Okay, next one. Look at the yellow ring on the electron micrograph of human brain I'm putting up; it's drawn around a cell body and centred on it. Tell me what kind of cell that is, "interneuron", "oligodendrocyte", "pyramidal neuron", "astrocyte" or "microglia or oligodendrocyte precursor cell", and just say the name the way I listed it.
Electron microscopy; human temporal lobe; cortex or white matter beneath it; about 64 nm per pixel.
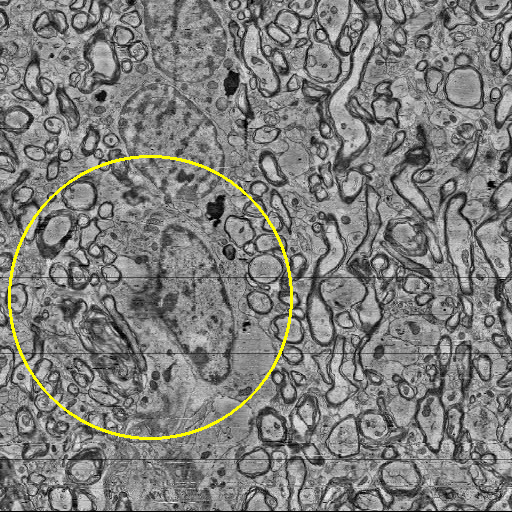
microglia or oligodendrocyte precursor cell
